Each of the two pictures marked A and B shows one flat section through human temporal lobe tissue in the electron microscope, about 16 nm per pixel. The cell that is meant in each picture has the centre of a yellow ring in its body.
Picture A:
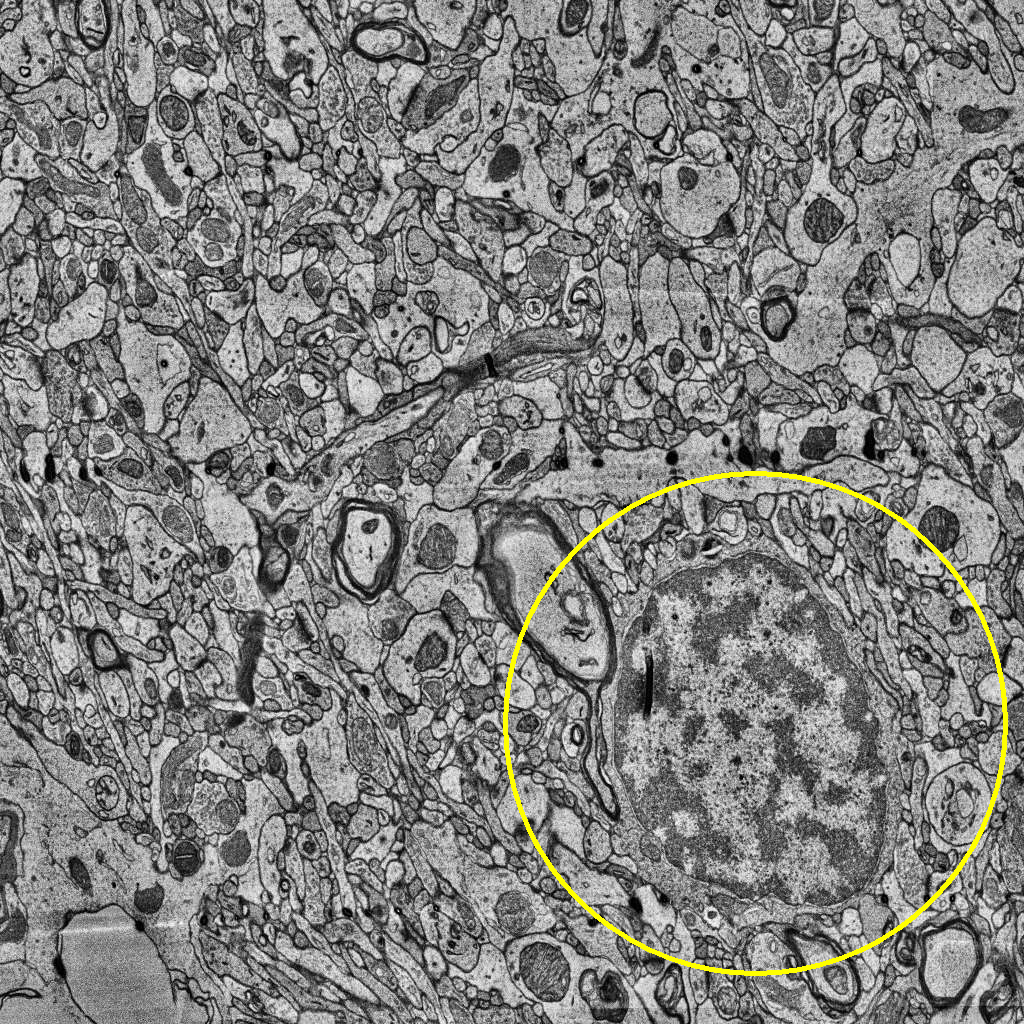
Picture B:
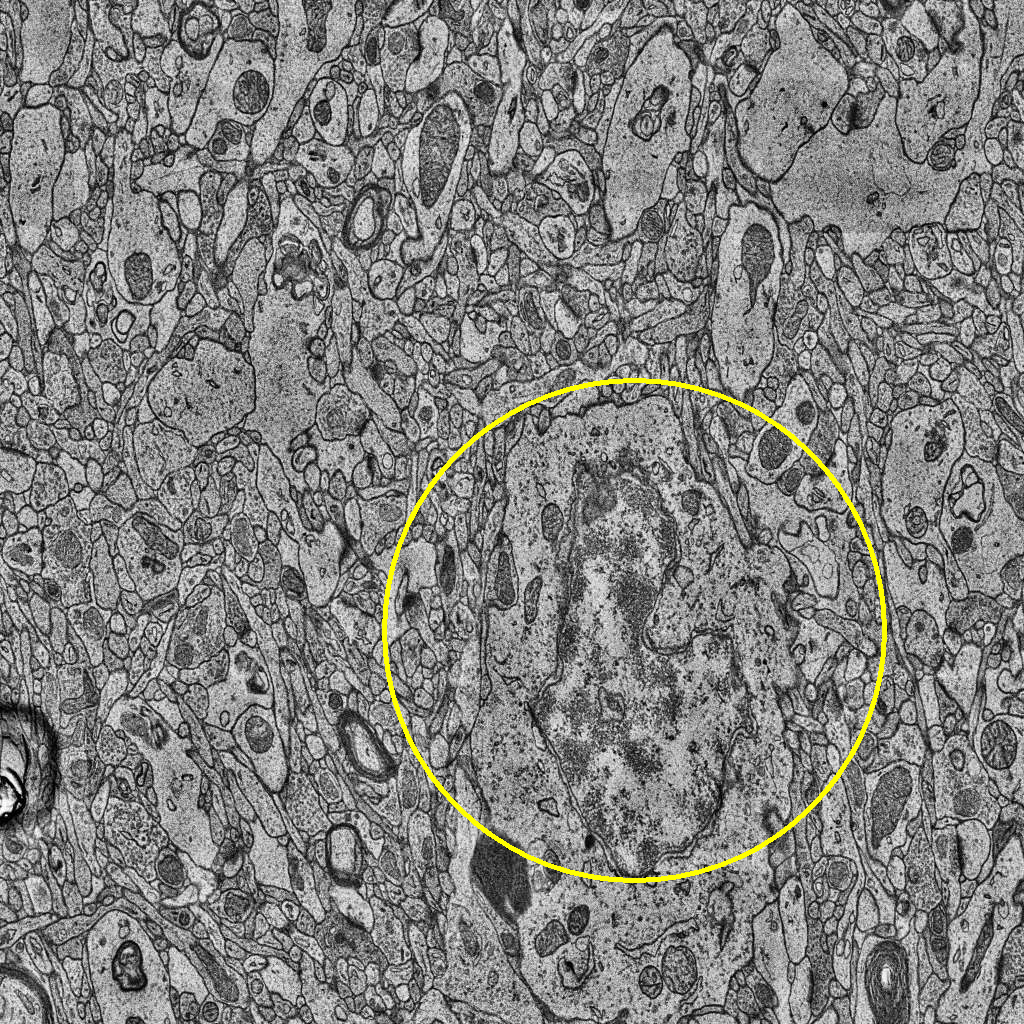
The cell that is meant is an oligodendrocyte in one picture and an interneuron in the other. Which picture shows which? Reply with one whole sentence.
Picture A is of an oligodendrocyte, and picture B is of an interneuron.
